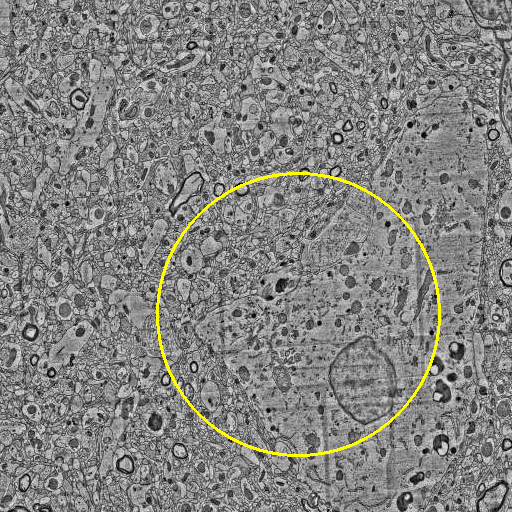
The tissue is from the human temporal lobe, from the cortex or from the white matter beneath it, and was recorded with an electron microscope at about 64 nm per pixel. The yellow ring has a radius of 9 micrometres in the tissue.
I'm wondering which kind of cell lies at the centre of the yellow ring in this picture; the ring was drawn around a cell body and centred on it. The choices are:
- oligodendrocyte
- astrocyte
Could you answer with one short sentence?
At the centre of the ring lies an oligodendrocyte.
